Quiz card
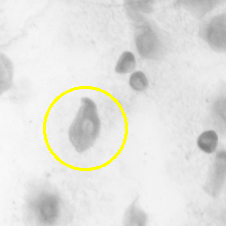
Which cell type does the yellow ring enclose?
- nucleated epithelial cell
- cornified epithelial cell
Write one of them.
nucleated epithelial cell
